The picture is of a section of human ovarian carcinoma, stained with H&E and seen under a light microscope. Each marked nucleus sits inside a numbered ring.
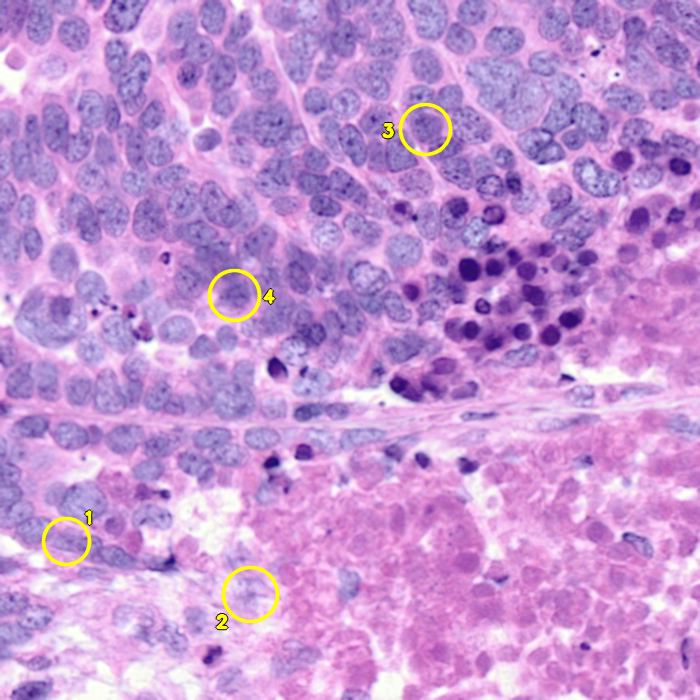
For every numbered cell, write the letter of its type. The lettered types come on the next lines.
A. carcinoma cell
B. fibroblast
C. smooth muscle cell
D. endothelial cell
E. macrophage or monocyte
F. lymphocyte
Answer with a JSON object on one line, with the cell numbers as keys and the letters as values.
{"1": "A", "2": "B", "3": "A", "4": "A"}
